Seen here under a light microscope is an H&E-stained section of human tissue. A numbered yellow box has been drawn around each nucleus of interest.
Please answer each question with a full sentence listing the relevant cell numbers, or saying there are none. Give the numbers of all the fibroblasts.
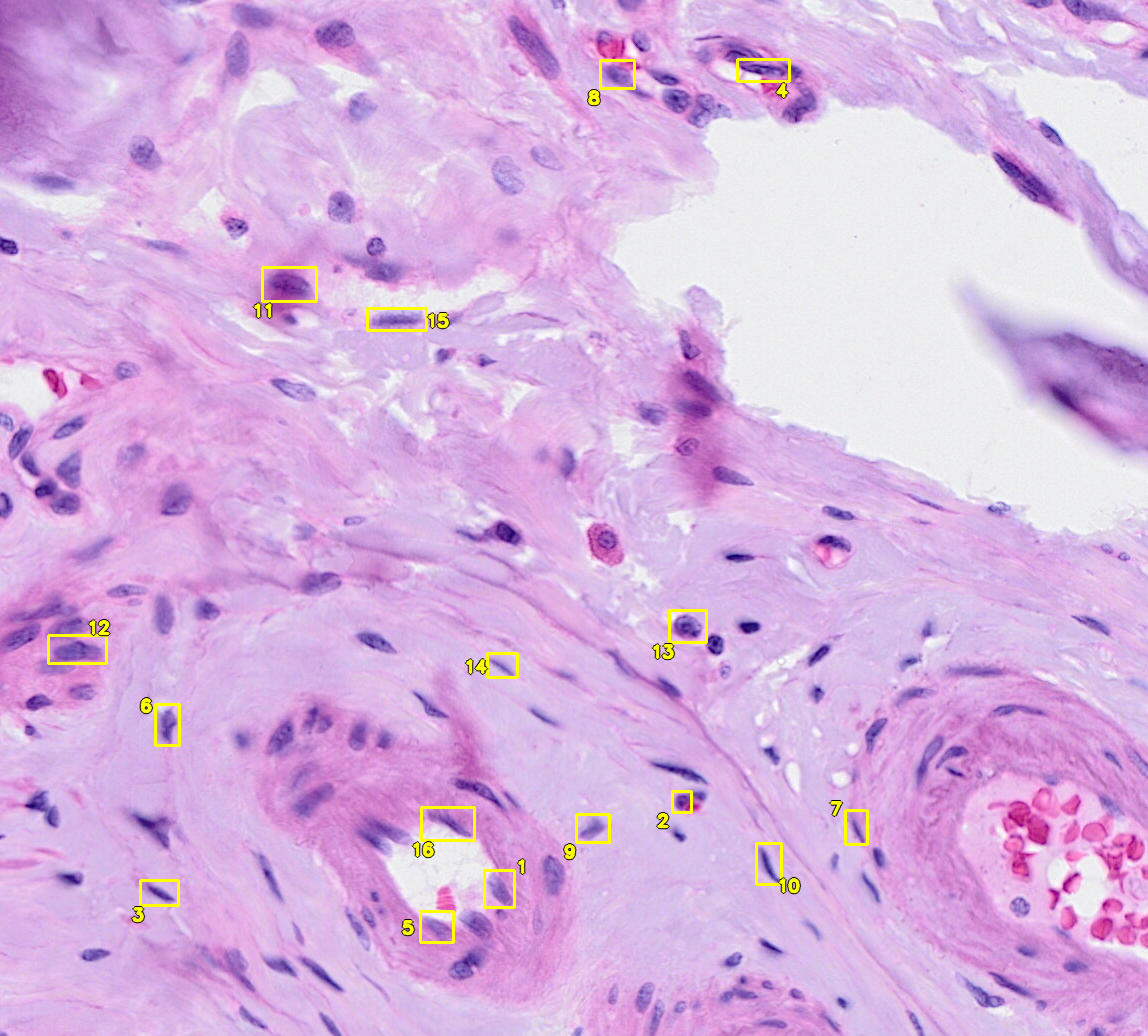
Cells 3, 6, 9, 10 and 14 are classified as fibroblasts.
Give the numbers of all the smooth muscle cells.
The cells marked with the numbers 7 and 12 are smooth muscle cells.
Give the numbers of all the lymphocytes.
Cell 13 is a lymphocyte, whereas each of the other numbered cells is not.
